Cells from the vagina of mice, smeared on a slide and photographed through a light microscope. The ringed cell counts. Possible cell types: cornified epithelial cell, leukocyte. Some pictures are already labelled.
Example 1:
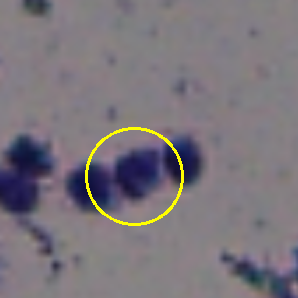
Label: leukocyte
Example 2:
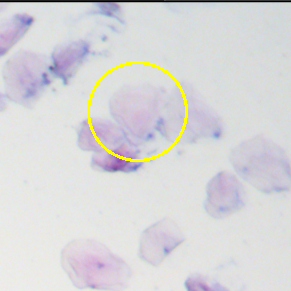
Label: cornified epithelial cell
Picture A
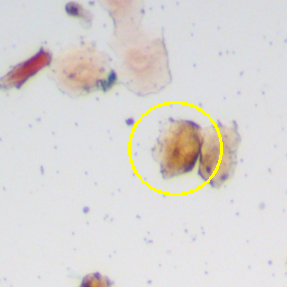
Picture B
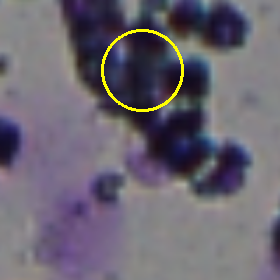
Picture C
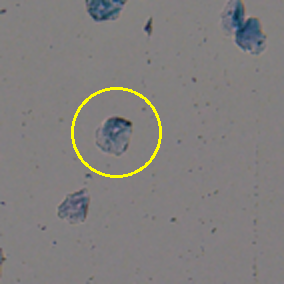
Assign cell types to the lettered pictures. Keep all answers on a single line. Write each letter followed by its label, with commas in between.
A cornified epithelial cell, B leukocyte, C cornified epithelial cell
